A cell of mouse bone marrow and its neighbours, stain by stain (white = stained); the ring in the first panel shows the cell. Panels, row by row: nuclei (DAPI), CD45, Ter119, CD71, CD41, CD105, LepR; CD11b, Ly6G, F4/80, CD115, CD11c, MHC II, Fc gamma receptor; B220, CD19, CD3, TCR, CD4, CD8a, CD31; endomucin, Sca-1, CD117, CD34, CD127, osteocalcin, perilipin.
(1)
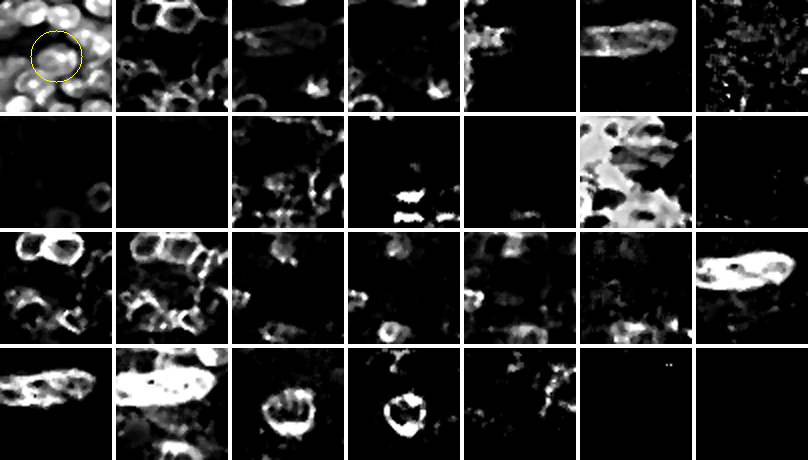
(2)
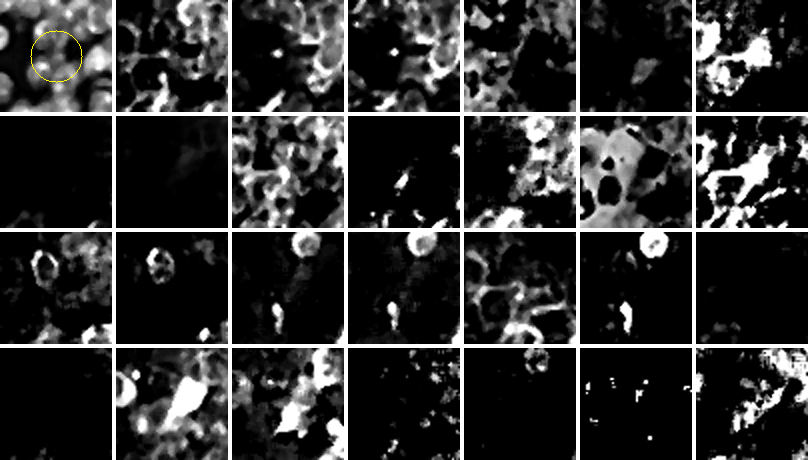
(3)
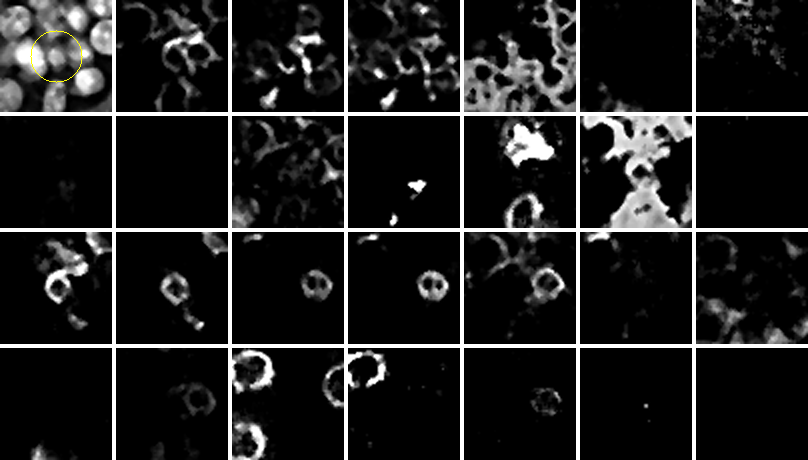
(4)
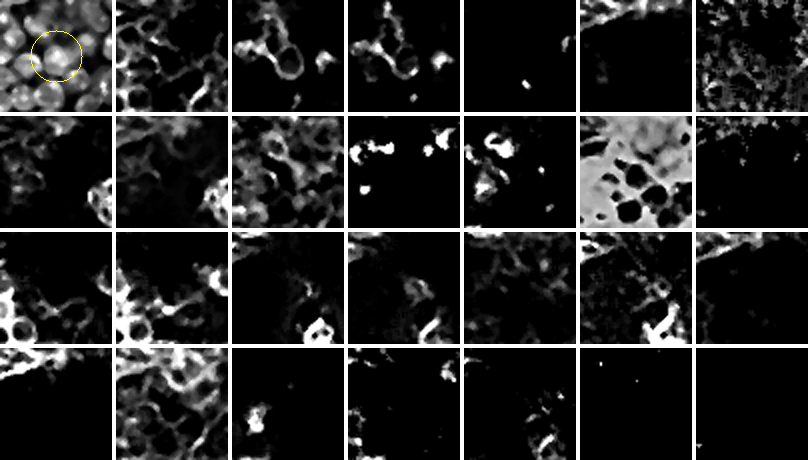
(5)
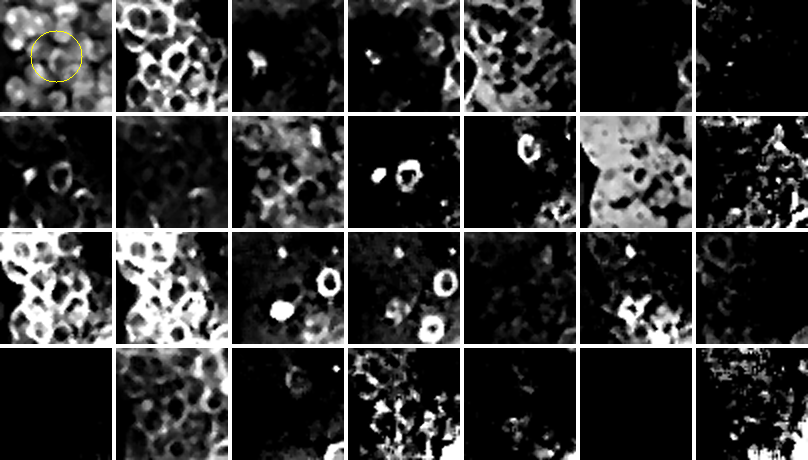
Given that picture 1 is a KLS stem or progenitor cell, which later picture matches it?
2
